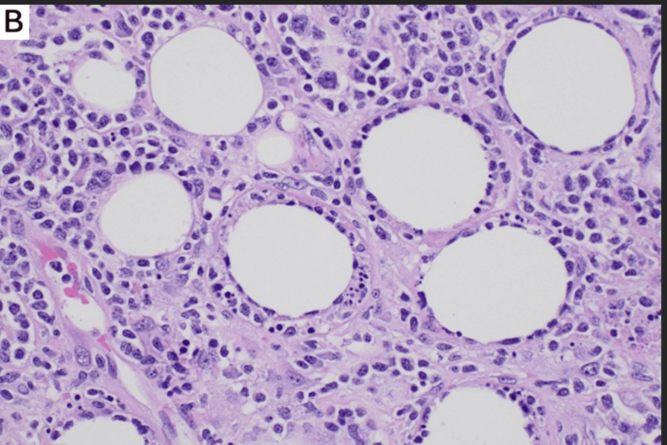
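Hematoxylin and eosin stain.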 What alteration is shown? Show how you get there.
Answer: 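The ringing cells have dark, irregular nuclei. Dark-nucleated cells also crowd the spaces between the fat cells.
Hence: atypical lymphocytes rimming the adipocytes.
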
